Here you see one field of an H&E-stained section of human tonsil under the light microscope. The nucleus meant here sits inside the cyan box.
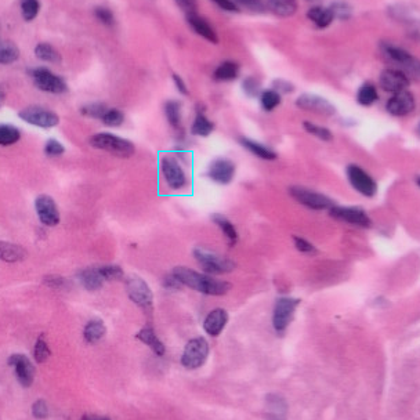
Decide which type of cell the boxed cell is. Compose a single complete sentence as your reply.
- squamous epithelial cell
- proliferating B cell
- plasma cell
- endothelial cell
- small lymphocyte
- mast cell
Assigned to a cell type, the boxed cell is a mast cell.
